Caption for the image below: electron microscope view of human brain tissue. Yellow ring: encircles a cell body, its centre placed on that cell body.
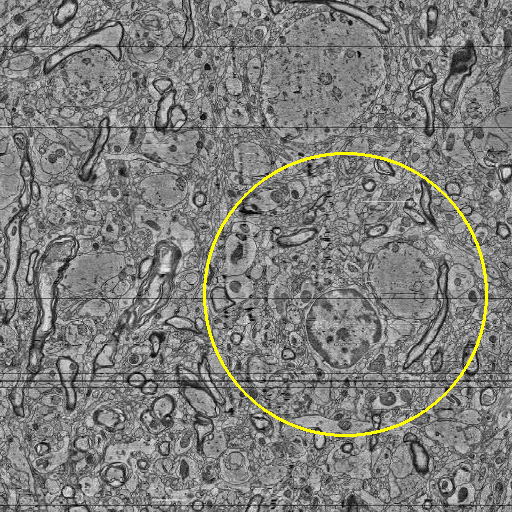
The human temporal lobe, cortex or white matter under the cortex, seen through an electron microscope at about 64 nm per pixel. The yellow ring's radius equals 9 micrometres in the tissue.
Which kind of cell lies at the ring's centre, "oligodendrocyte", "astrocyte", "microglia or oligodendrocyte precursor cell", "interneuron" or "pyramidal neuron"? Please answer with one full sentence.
The picture shows a microglial cell or oligodendrocyte precursor cell at the centre of the yellow ring.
